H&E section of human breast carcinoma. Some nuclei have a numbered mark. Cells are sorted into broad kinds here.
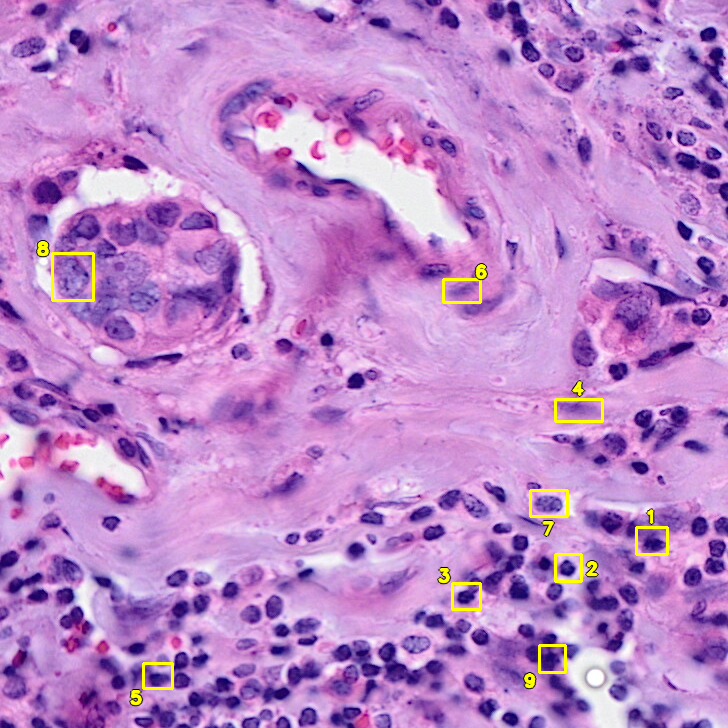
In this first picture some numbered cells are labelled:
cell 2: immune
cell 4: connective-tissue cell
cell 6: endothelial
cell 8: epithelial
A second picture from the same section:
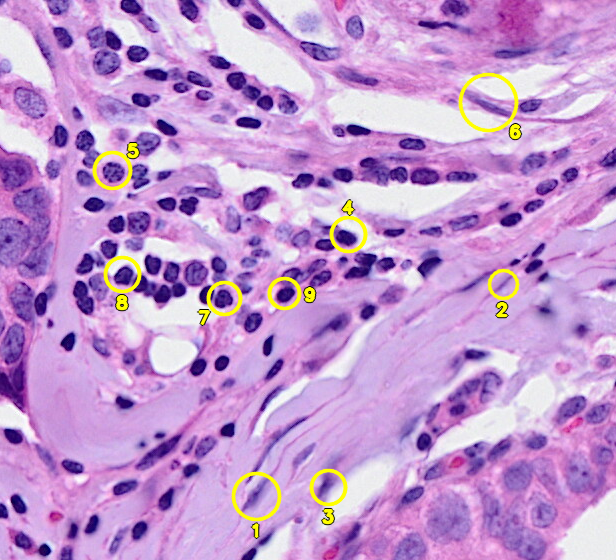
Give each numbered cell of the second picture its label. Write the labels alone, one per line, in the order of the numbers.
connective-tissue cell
connective-tissue cell
connective-tissue cell
immune
immune
connective-tissue cell
immune
immune
immune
